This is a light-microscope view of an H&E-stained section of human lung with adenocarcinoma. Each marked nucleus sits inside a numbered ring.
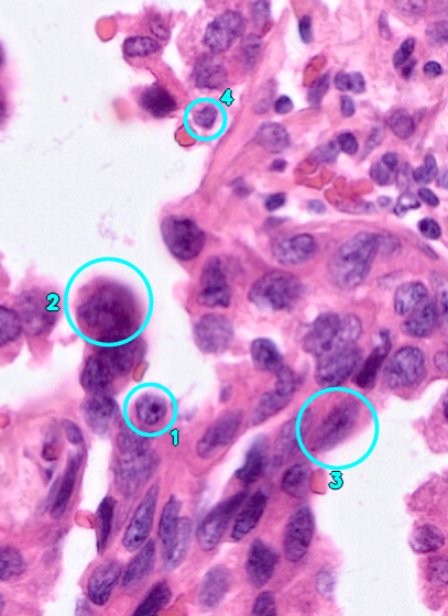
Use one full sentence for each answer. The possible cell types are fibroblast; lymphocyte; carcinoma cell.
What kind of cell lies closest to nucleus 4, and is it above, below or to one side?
The nearest nucleus is that of a carcinoma cell and lies above nucleus 4.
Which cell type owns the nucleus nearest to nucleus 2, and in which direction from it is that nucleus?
The nearest one is a carcinoma cell, found below nucleus 2.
